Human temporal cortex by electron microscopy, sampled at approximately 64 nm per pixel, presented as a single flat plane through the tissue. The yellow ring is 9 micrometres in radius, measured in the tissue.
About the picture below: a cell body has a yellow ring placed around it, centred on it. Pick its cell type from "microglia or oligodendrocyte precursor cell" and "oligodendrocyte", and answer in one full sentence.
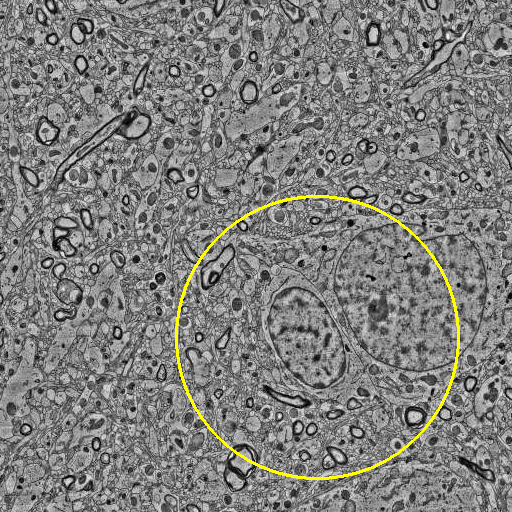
In the picture, a microglial cell or oligodendrocyte precursor cell is the cell sitting at the centre of the yellow ring.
